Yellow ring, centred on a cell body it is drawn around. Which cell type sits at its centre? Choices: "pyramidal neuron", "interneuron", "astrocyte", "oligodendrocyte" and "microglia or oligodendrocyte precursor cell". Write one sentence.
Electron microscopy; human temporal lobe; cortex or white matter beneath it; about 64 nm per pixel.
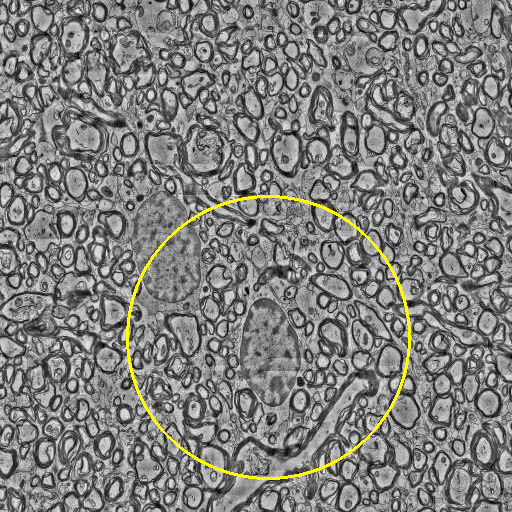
At the centre of the ring sits a microglial cell or oligodendrocyte precursor cell.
